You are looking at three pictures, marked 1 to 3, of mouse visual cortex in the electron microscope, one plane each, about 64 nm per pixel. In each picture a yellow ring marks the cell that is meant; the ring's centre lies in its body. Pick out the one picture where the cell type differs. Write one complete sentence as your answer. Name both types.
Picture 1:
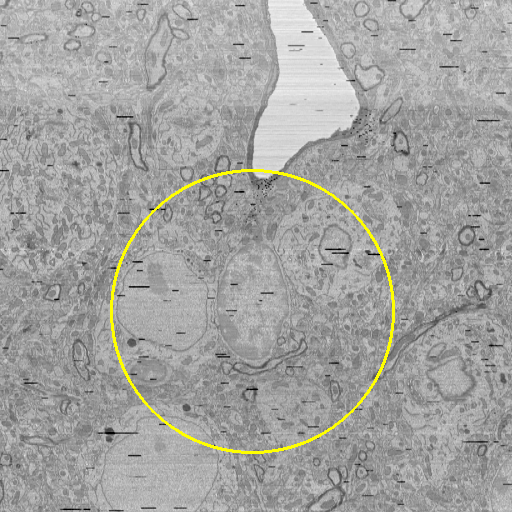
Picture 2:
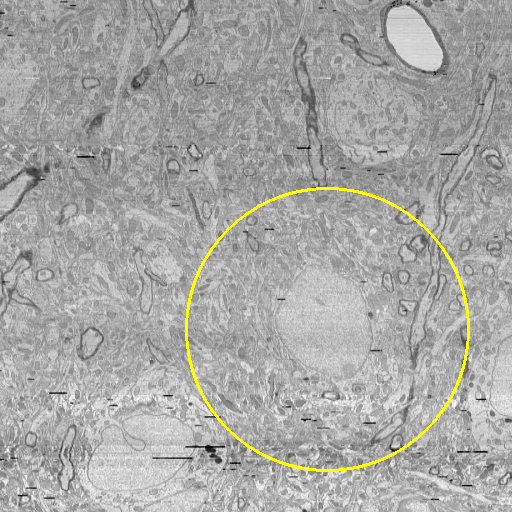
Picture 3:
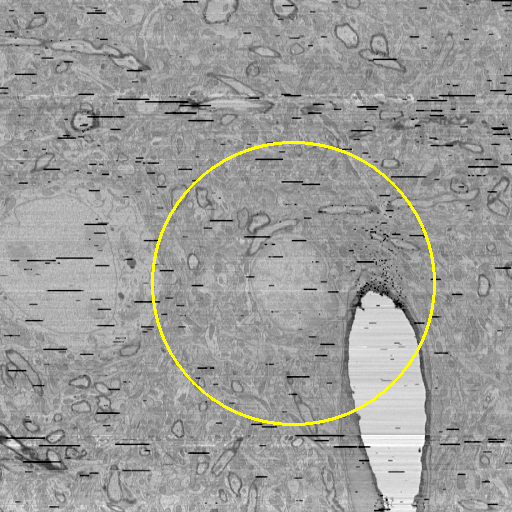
Unlike the rest, which show oligodendrocytes, picture 2 shows an astrocyte.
